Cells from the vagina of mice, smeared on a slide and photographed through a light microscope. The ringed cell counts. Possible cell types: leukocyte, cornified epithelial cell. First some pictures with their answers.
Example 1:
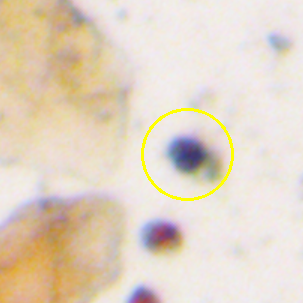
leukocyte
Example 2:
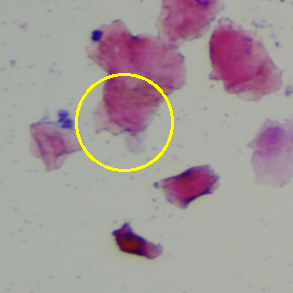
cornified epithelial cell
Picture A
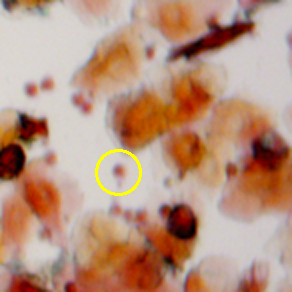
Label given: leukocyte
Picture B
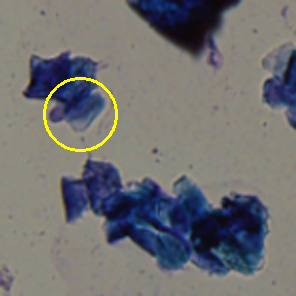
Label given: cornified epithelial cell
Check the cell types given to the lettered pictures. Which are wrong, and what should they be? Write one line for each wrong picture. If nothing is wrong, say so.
No label is wrong.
